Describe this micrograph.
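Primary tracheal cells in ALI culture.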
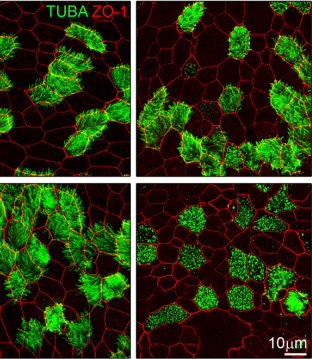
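Thin red lines outline a mosaic of polygonal cells of differing size, tightly fitted edge to edge. Some of these cells carry a dense green tuft of hair-like cilia that fills the cell outline and often overlaps onto neighbouring cells. In some fields the cilia appear long and combed in one direction, while in others they appear as short, dot-like or tangled projections confined to the cell surface. The cells without green tufts are plain polygons bounded only by the red borders.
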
